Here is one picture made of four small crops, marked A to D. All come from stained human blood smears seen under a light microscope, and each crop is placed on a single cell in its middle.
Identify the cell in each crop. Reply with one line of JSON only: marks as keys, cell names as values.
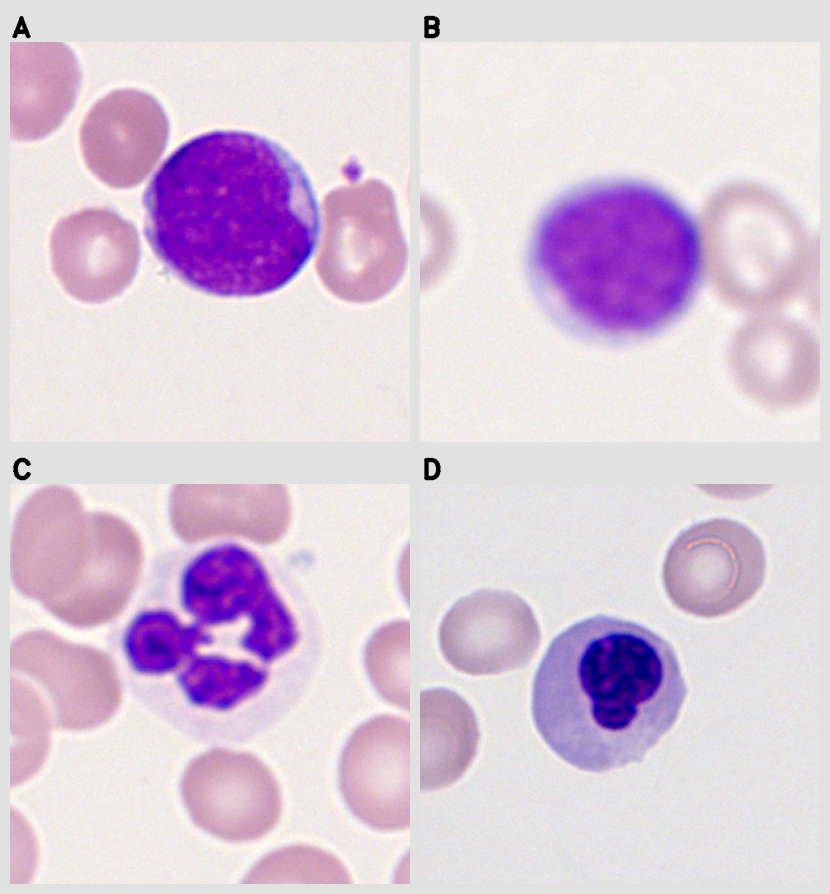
{"A": "myeloblast", "B": "lymphocyte", "C": "segmented neutrophil", "D": "erythroblast"}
